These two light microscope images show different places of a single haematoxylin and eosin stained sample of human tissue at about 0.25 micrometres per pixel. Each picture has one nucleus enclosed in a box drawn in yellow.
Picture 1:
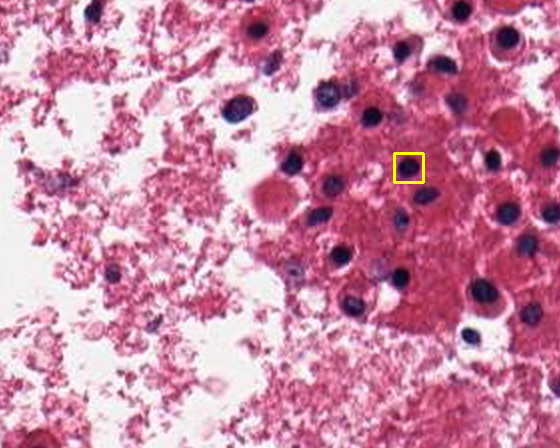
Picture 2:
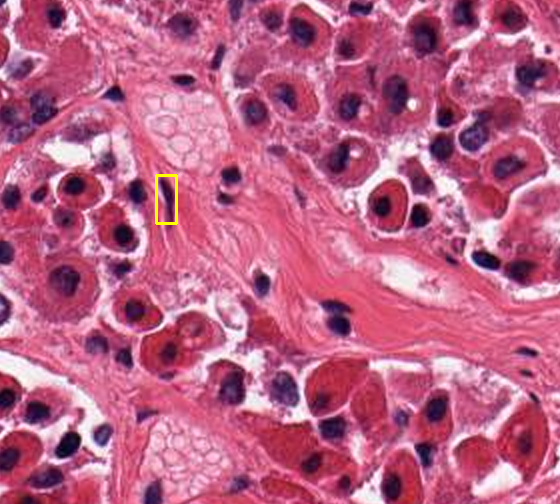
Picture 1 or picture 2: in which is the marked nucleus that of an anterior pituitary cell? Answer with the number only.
1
